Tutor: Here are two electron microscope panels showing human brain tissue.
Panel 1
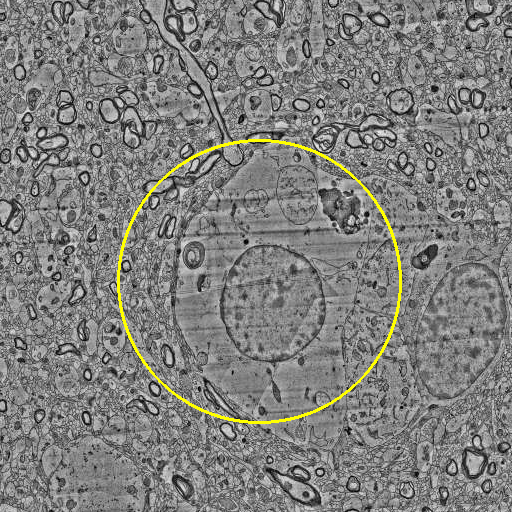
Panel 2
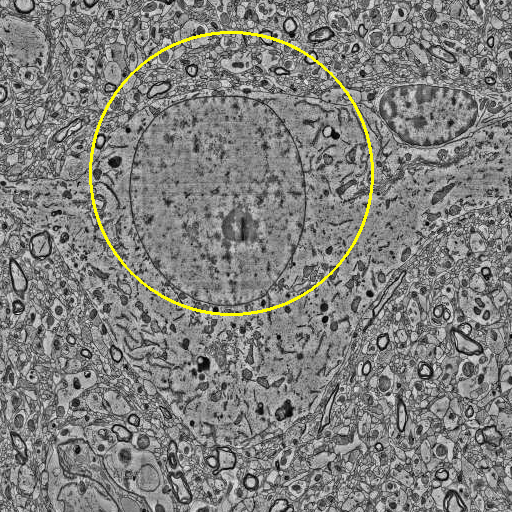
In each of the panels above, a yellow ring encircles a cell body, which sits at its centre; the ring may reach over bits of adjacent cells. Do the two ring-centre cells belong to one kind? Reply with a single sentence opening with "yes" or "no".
No, the two cells sitting at the ring centres in the panels belong to two kinds.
